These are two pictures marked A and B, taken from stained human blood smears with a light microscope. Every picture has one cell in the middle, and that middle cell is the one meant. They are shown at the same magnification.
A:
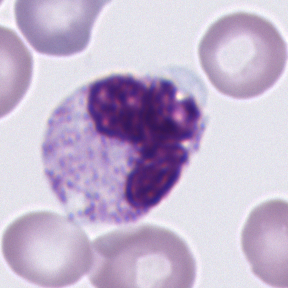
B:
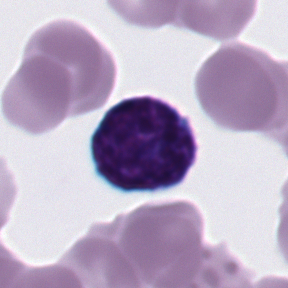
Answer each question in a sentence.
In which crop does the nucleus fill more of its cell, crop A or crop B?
Of the two, the nucleus in crop B makes up the greater part of its cell.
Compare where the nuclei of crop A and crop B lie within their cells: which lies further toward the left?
In crop B the nucleus is shifted more toward the left.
